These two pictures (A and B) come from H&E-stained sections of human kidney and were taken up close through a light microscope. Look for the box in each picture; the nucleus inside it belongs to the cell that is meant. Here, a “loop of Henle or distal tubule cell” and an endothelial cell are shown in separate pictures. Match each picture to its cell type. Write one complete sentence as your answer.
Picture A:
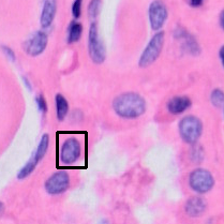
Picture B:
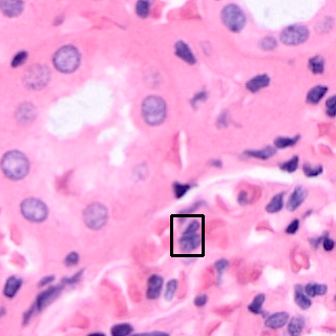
It is picture A that shows a “loop of Henle or distal tubule cell”, and picture B that shows an endothelial cell.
